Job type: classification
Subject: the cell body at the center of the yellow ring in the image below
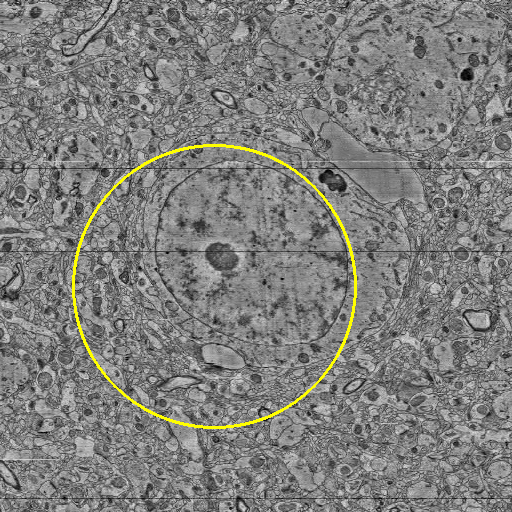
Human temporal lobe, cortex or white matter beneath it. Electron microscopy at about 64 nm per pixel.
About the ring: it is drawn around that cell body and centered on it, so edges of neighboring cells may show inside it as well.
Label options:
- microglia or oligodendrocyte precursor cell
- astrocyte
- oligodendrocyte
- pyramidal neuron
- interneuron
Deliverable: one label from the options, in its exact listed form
pyramidal neuron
